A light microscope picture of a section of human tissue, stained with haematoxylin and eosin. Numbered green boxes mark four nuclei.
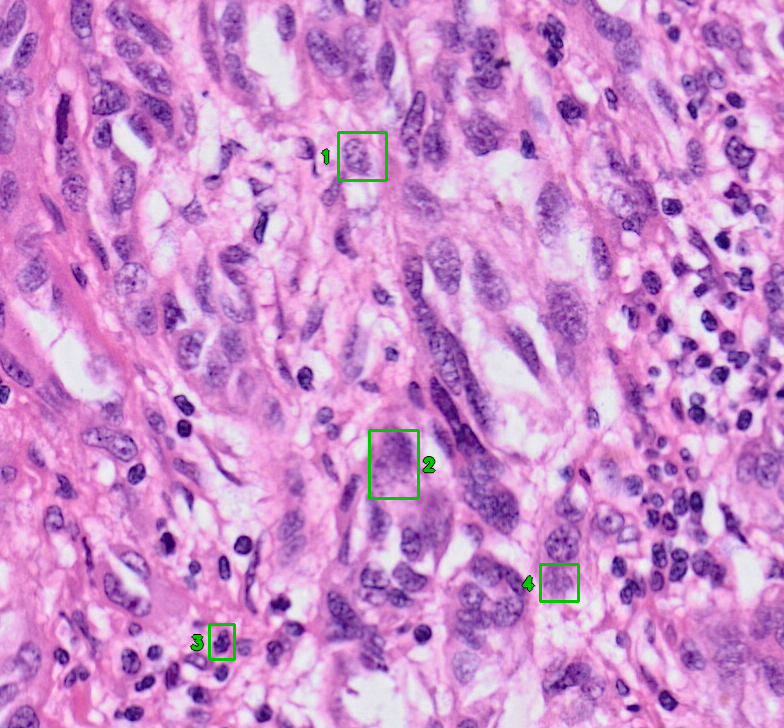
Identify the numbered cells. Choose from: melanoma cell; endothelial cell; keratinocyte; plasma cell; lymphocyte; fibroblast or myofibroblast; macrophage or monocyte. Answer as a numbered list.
1. melanoma cell
2. melanoma cell
3. lymphocyte
4. melanoma cell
